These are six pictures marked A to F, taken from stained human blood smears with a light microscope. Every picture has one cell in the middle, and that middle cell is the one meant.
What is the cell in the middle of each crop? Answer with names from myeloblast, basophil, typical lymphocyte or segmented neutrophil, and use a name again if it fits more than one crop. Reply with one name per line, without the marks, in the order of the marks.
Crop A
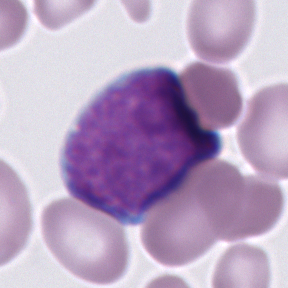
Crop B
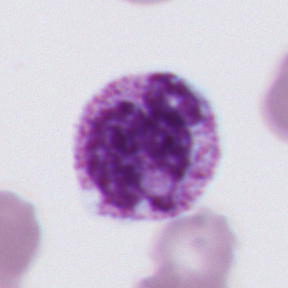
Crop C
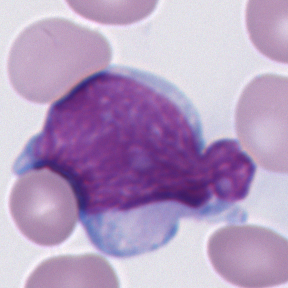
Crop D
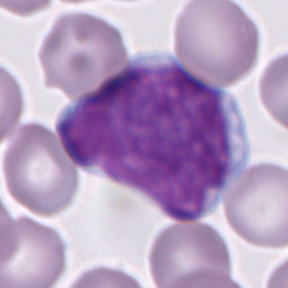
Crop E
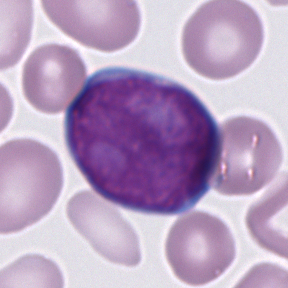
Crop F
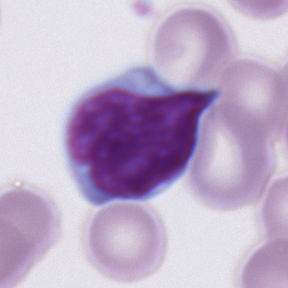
myeloblast
segmented neutrophil
myeloblast
myeloblast
myeloblast
typical lymphocyte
